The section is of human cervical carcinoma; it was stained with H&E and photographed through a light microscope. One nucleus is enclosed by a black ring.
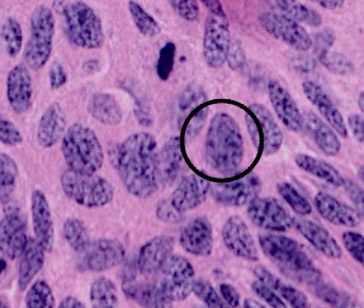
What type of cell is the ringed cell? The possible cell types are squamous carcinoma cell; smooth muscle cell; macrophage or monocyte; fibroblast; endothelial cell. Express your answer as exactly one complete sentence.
In short, the ringed cell on this section is a squamous carcinoma cell.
